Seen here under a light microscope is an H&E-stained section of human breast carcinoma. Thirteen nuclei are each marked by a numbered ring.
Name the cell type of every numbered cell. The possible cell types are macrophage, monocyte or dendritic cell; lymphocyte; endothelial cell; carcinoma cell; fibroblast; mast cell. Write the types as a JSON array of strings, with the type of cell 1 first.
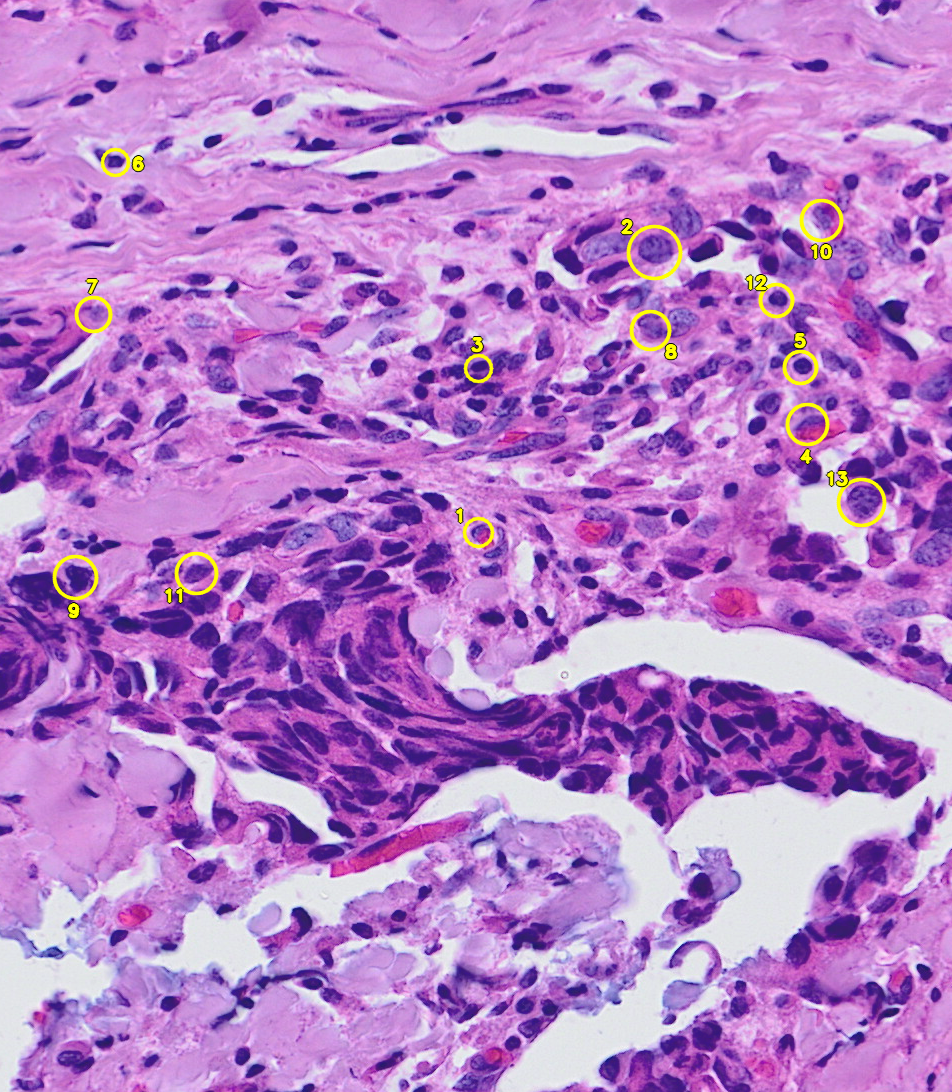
["endothelial cell", "carcinoma cell", "lymphocyte", "endothelial cell", "lymphocyte", "lymphocyte", "endothelial cell", "endothelial cell", "carcinoma cell", "endothelial cell", "carcinoma cell", "lymphocyte", "carcinoma cell"]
